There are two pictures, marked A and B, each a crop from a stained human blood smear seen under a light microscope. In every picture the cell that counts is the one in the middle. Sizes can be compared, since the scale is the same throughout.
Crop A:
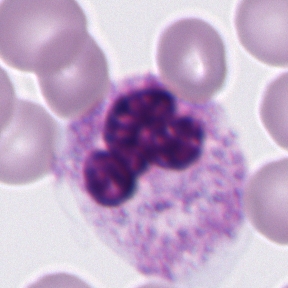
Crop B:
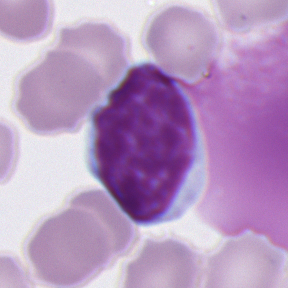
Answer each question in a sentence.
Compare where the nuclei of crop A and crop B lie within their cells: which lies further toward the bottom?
It is the nucleus in crop B that lies further toward the bottom of its cell.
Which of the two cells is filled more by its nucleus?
In crop B the nucleus takes up the larger part of its cell.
